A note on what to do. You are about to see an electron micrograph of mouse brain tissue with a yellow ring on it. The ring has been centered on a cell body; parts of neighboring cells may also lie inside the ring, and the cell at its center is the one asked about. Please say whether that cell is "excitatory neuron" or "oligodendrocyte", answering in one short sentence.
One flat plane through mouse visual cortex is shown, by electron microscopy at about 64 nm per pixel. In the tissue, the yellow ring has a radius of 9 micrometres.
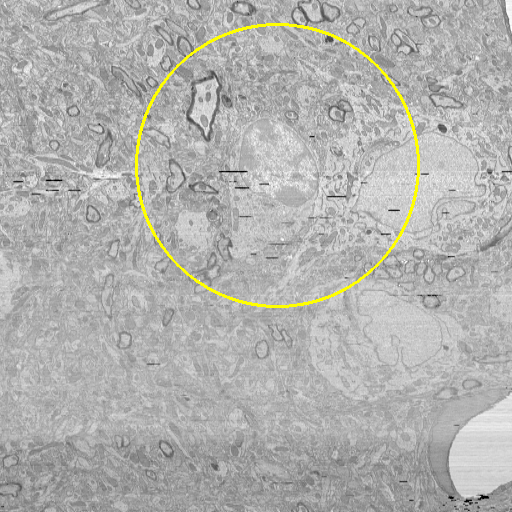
The yellow ring sits on an oligodendrocyte.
